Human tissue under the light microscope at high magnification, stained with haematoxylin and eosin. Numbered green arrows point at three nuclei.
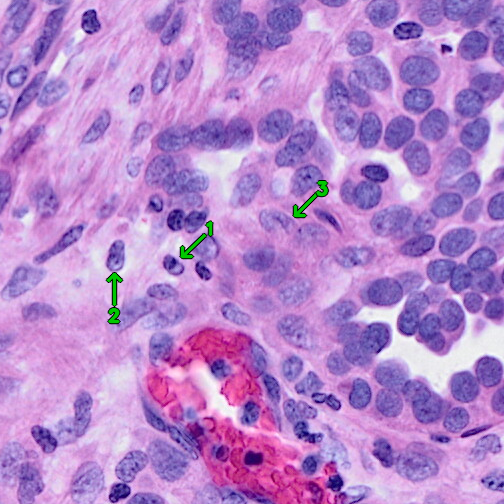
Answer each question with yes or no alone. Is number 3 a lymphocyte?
no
